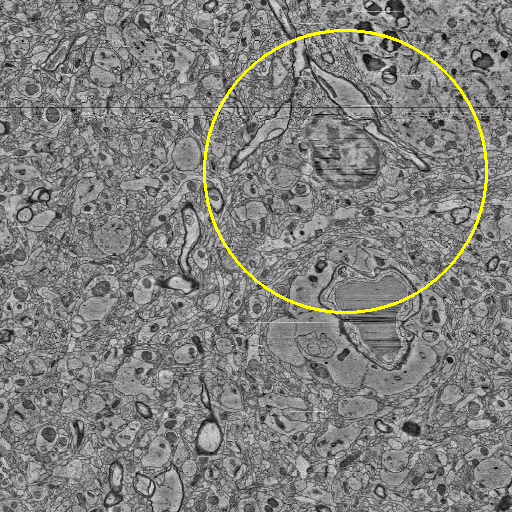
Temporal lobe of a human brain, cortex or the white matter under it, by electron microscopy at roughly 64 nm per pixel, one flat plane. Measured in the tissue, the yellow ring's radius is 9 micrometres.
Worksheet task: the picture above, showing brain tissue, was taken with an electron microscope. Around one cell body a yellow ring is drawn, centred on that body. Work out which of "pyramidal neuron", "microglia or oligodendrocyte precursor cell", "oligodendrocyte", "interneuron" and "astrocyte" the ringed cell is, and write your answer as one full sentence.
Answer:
It is an oligodendrocyte whose cell body lies at the centre of the yellow ring.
